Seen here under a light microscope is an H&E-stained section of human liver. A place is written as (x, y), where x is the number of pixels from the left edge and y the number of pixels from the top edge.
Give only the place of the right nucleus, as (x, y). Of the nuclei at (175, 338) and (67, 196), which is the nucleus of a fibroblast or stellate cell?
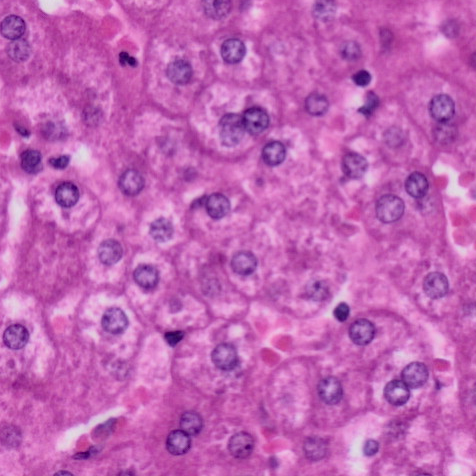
(175, 338)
